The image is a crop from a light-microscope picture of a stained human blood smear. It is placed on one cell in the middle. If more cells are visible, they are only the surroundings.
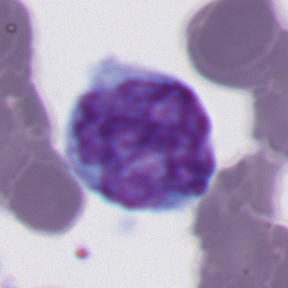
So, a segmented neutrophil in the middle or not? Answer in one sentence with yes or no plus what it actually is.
No, that guess of a segmented neutrophil misses; the central cell is a monocyte.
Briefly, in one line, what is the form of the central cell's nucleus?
Round, oval or kidney-shaped, the nucleus is one compact mass.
